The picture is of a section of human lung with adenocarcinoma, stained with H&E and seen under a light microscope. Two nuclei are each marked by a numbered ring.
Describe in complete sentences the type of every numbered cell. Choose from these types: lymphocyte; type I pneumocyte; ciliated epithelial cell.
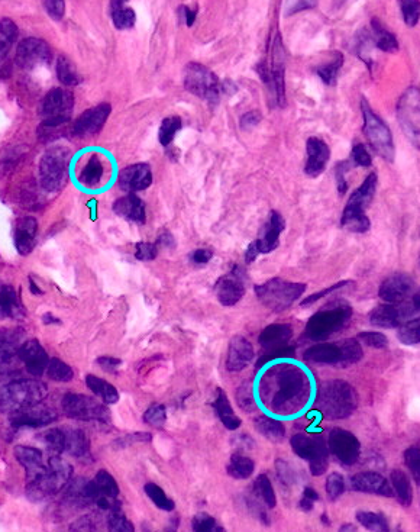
Cell 1 is a lymphocyte. Cell 2 is a ciliated epithelial cell.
